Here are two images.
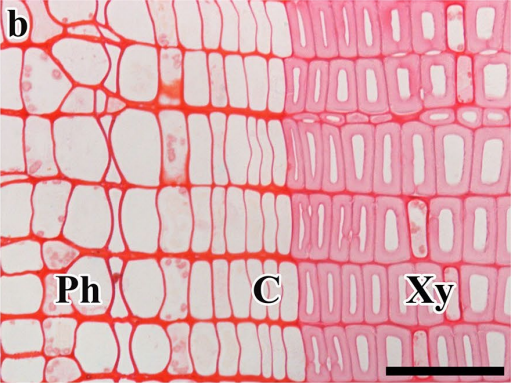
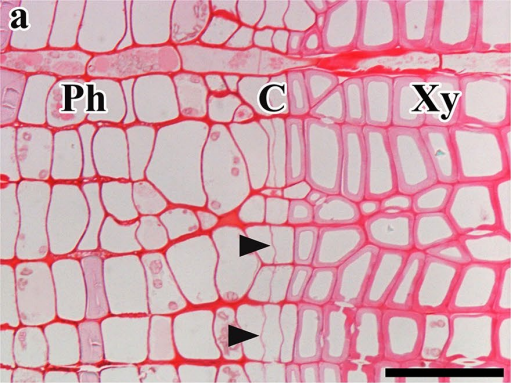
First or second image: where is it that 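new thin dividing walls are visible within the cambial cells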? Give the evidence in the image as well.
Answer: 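The second image. First image: the narrow cambial cells form regular radial files without extra thin dividing walls. Second image: thin new walls subdivide some cambial cells near the xylem.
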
